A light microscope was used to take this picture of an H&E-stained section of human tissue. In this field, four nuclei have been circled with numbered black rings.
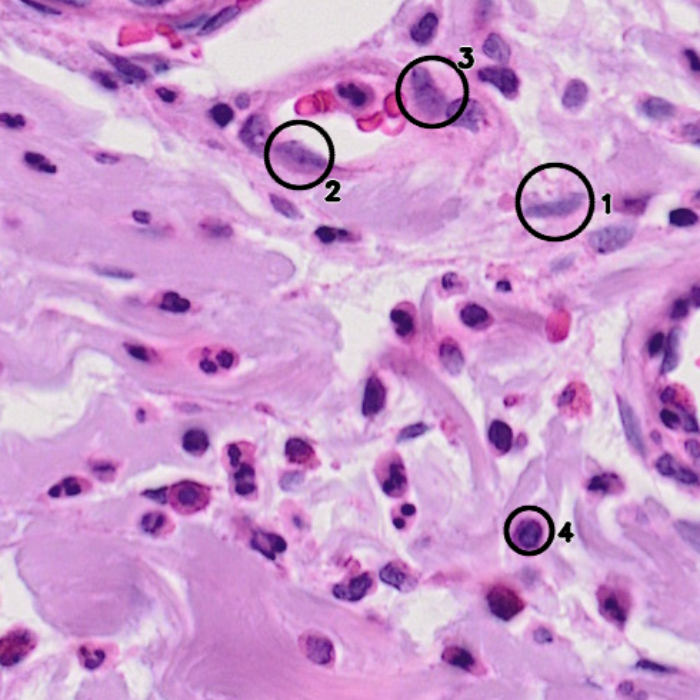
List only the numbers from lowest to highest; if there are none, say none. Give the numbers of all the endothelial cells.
2, 3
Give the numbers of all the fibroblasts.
1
